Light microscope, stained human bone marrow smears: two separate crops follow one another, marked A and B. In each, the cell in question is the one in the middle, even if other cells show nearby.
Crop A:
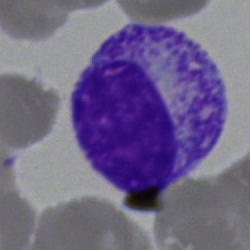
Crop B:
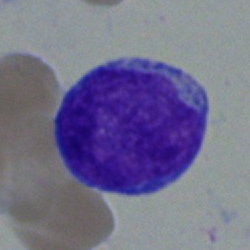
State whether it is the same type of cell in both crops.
no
